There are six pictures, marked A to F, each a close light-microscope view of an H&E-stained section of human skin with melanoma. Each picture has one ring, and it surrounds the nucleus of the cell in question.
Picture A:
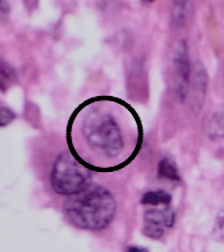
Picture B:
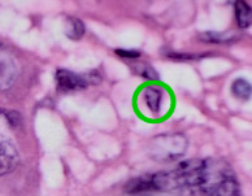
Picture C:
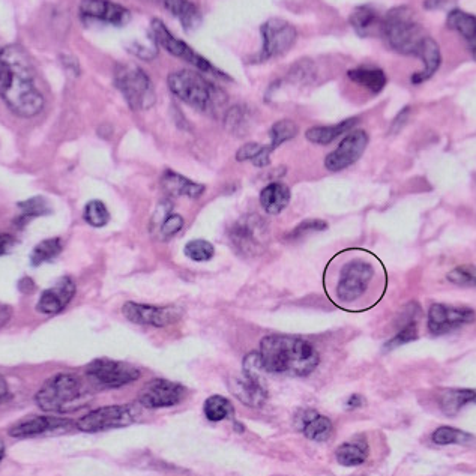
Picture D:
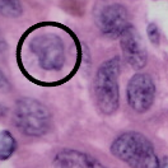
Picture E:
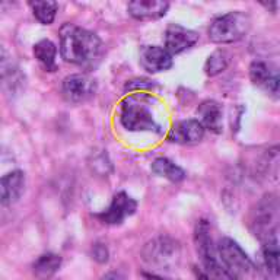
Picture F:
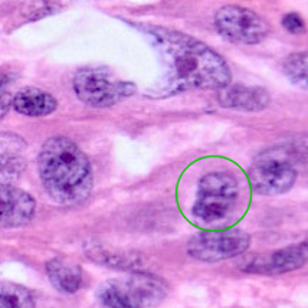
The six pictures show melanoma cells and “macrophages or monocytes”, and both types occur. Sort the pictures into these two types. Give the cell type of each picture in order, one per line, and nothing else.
melanoma cell
macrophage or monocyte
macrophage or monocyte
macrophage or monocyte
melanoma cell
melanoma cell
